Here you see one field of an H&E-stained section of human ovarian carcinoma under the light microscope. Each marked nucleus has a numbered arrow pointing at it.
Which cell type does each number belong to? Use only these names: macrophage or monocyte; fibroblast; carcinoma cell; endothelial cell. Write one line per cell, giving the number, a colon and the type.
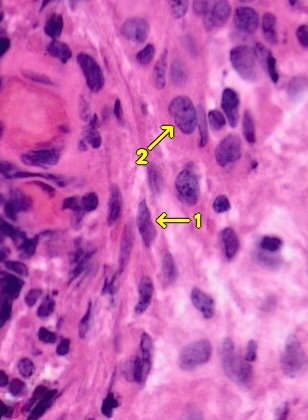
1: fibroblast
2: carcinoma cell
